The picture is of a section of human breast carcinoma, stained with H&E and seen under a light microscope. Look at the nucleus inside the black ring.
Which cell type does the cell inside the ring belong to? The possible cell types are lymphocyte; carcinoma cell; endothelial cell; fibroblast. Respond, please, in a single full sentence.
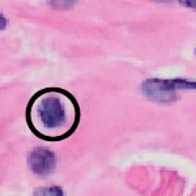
Speaking plainly, the cell inside the ring is nothing other than a lymphocyte.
